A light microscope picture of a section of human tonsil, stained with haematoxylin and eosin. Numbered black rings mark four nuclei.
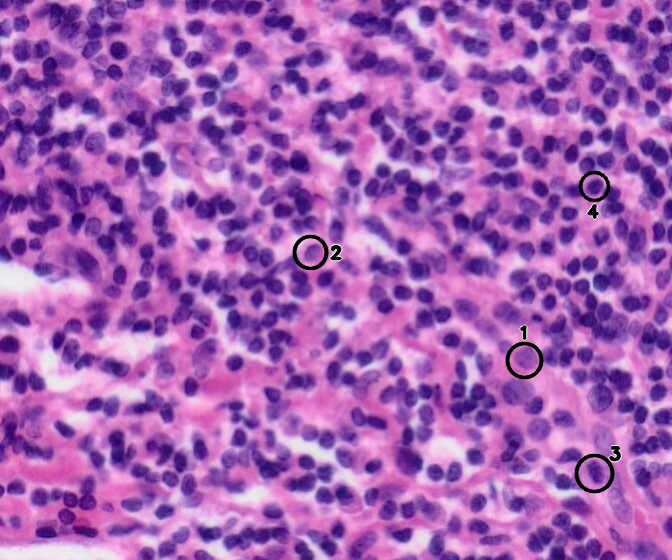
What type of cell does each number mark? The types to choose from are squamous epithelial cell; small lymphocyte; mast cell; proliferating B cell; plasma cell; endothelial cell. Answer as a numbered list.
1. endothelial cell
2. mast cell
3. endothelial cell
4. small lymphocyte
